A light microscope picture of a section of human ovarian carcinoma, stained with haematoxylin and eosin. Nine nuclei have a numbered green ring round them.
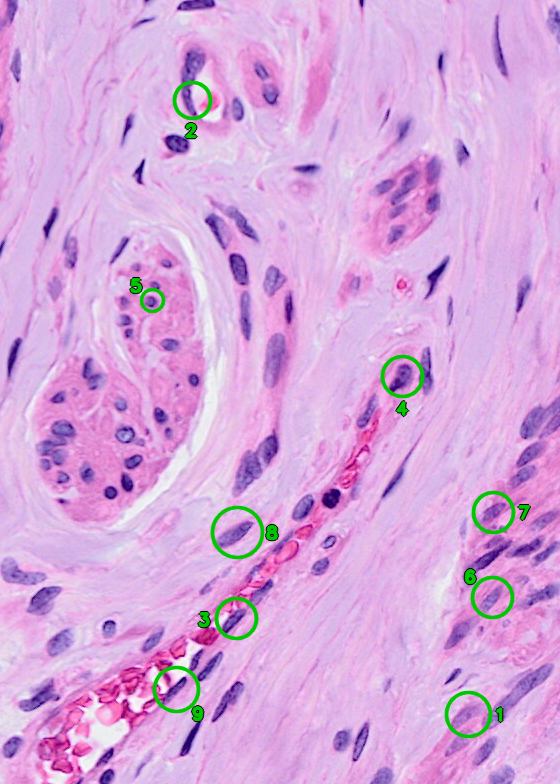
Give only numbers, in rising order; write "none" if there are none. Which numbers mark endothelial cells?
2, 3, 4, 9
